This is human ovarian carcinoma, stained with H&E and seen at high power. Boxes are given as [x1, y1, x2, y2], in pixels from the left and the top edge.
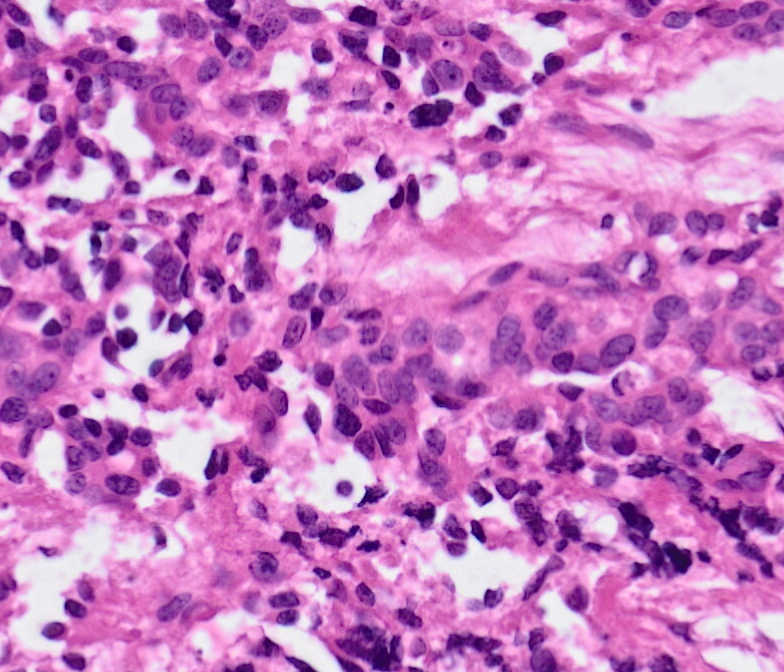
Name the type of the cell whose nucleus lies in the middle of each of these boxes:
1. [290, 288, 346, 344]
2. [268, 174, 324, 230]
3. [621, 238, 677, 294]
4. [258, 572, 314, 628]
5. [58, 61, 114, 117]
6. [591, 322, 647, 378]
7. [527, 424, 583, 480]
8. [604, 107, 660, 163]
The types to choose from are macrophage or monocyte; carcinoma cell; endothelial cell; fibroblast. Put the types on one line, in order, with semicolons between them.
carcinoma cell; carcinoma cell; endothelial cell; macrophage or monocyte; carcinoma cell; carcinoma cell; carcinoma cell; fibroblast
